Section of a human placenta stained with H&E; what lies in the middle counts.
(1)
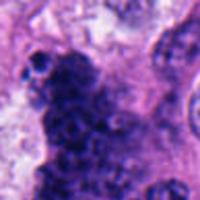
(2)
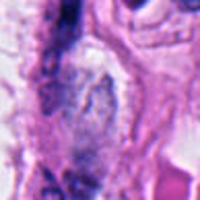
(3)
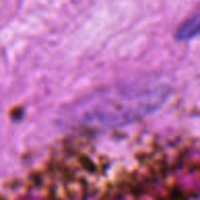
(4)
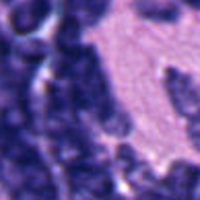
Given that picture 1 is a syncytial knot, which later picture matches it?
4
